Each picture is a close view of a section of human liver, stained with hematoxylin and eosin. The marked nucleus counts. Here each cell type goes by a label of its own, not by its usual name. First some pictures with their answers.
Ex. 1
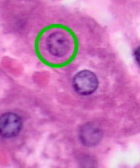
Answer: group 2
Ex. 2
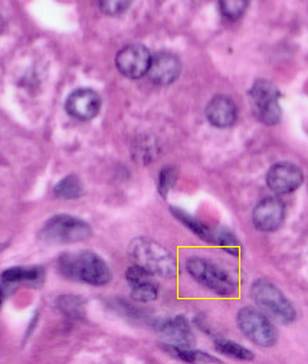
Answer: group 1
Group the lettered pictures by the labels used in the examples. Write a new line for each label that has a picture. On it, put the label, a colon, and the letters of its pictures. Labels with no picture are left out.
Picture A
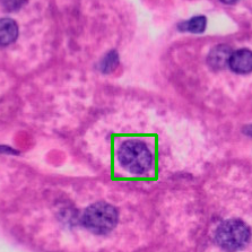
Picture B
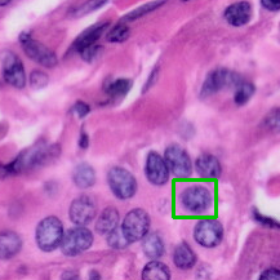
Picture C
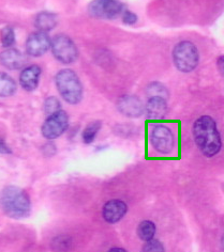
group 2: A
group 1: B, C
